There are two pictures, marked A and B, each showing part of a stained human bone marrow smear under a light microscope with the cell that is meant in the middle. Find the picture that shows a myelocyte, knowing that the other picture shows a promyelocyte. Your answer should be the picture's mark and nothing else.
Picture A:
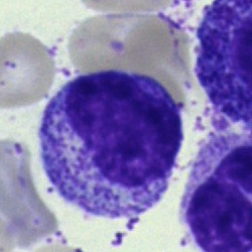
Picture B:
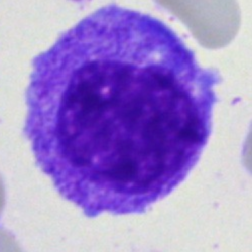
A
